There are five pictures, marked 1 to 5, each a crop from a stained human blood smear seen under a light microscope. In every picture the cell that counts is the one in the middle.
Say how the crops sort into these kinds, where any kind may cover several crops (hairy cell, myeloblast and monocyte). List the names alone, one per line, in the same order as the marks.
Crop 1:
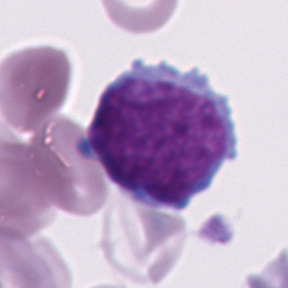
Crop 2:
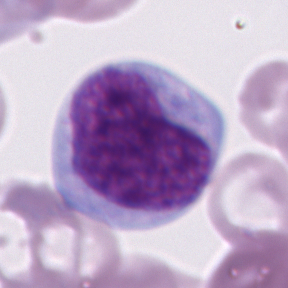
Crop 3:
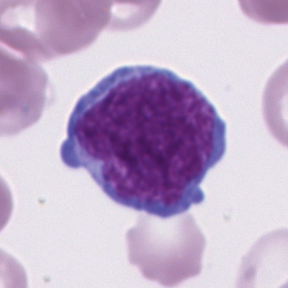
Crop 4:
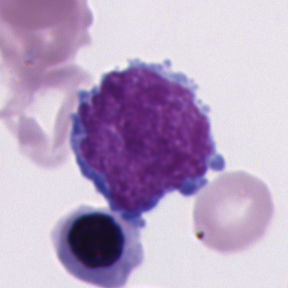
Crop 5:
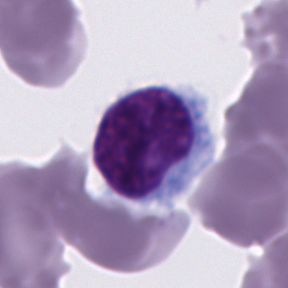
myeloblast
monocyte
myeloblast
myeloblast
hairy cell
